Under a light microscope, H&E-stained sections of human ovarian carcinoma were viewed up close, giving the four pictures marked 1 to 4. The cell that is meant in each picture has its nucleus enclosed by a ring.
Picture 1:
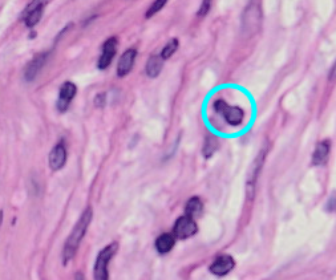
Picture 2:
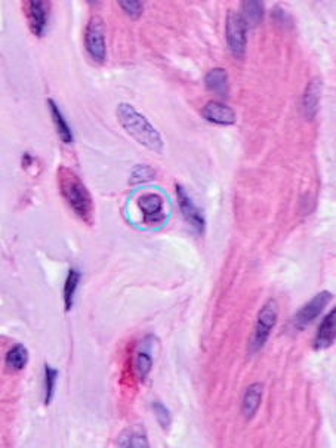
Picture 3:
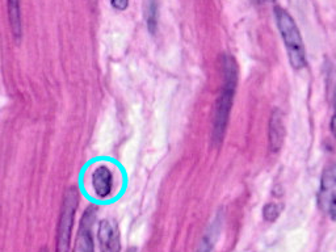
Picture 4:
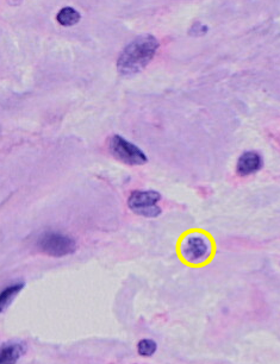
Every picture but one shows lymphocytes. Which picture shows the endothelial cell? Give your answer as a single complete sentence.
The cell in picture 2 is the endothelial cell.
